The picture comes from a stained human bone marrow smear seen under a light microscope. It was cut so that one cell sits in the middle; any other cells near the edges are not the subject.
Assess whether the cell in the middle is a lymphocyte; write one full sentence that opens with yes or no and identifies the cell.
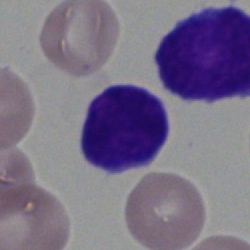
Yes, the cell in the central position is a lymphocyte.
